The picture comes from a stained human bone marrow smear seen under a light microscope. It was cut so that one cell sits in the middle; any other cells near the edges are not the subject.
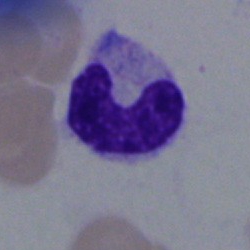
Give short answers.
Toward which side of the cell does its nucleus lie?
bottom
